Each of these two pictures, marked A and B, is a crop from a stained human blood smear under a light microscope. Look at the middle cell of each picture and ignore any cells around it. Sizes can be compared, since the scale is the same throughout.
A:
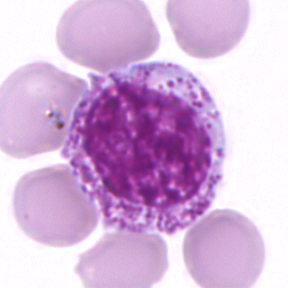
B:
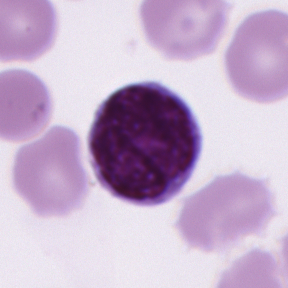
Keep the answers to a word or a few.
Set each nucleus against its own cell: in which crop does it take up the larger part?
B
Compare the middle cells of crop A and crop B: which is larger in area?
A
